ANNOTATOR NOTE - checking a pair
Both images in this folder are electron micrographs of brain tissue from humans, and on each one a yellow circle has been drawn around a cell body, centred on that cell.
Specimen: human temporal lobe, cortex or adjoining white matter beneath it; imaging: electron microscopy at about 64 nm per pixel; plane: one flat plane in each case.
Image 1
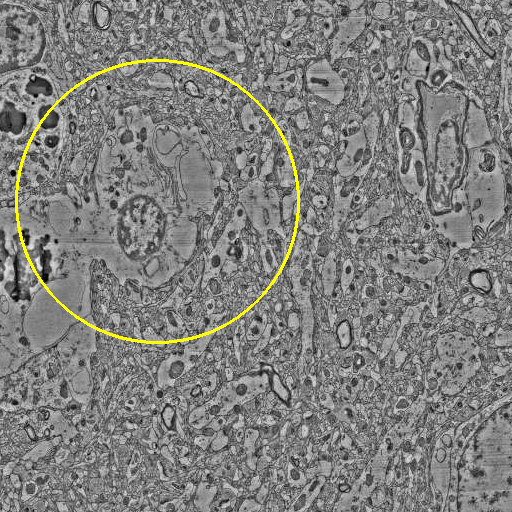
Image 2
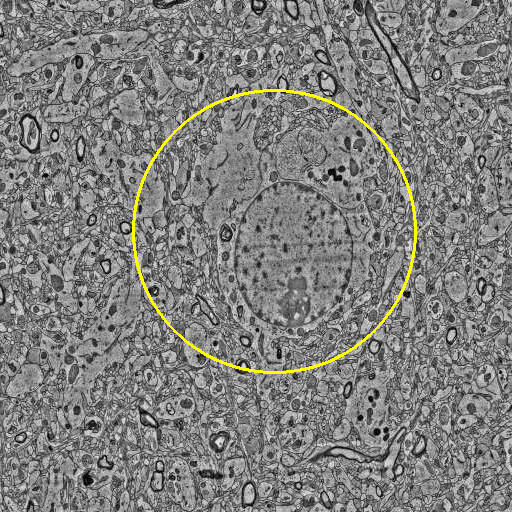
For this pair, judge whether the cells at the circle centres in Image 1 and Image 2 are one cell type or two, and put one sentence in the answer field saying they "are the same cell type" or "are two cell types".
For this pair, the cells at the circle centres in Images 1 and 2 are the same cell type.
